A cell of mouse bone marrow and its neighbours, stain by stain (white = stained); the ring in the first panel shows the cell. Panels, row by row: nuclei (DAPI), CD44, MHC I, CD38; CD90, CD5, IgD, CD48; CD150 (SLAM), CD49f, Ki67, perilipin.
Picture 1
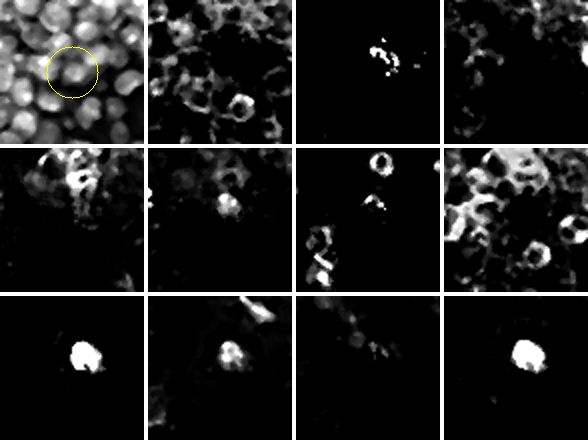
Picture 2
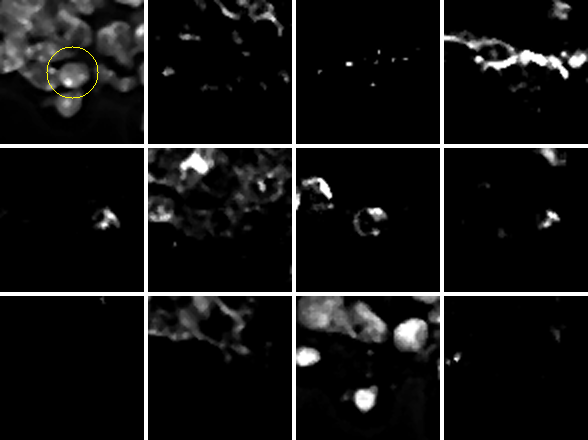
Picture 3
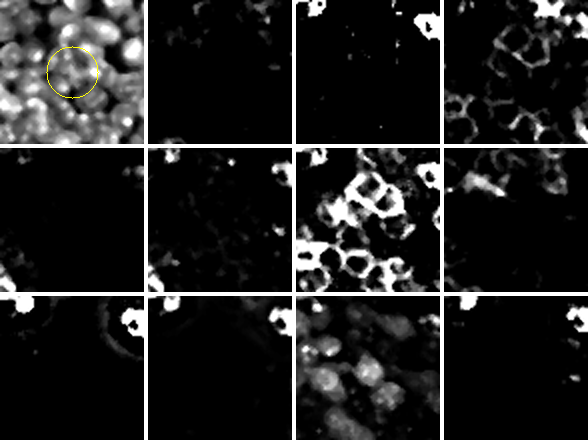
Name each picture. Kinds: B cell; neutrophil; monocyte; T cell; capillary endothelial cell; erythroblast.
1: neutrophil
2: capillary endothelial cell
3: erythroblast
